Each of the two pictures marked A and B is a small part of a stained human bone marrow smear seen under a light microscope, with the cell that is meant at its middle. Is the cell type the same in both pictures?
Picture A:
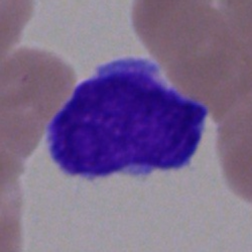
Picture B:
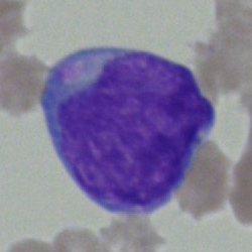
yes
